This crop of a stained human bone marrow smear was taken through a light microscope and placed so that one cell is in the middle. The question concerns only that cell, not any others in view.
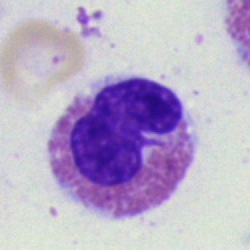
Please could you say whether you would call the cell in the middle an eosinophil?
yes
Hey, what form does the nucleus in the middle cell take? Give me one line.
Just one compact nuclear mass here, round, oval or kidney-shaped.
